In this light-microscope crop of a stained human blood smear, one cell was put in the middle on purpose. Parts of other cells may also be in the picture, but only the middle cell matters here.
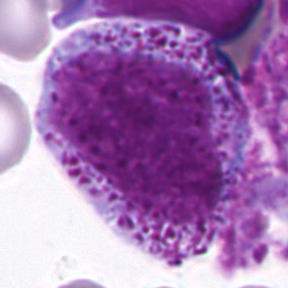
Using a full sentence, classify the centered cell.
In this crop, the cell at the very middle is a promyelocyte.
